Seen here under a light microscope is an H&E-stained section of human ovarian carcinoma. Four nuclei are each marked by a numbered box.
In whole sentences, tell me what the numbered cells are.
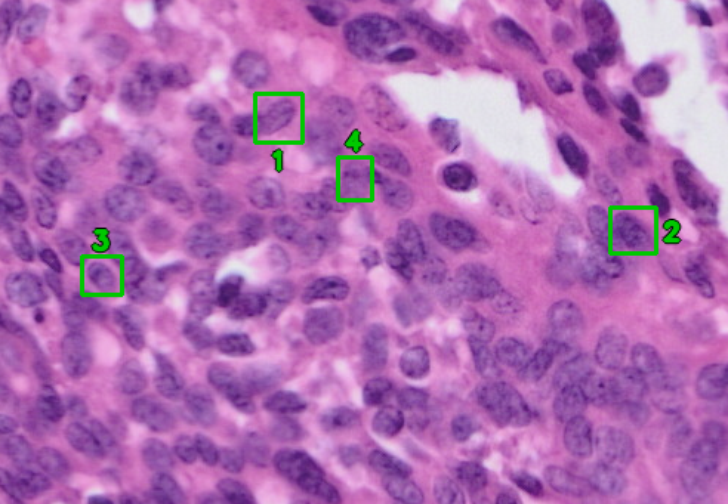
Cell 1 is a carcinoma cell, cell 2 is a carcinoma cell, cell 3 is a macrophage or monocyte and cell 4 is a carcinoma cell.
